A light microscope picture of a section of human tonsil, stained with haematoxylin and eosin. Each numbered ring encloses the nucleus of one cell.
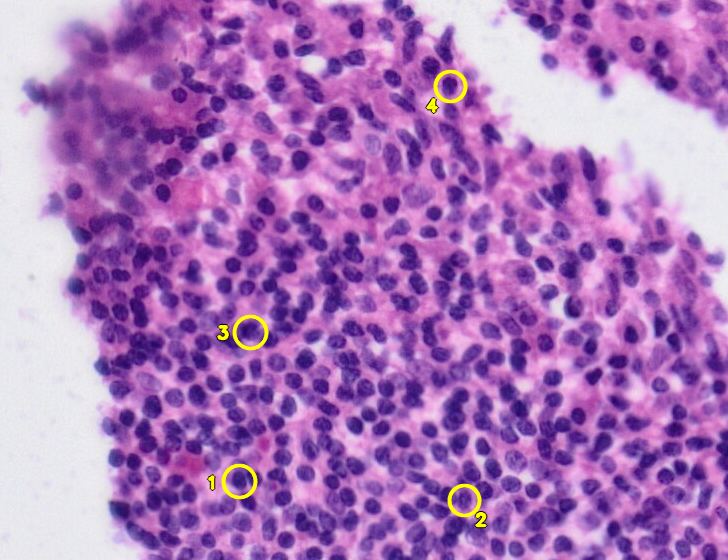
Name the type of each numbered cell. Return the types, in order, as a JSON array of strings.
["small lymphocyte", "small lymphocyte", "small lymphocyte", "plasma cell"]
